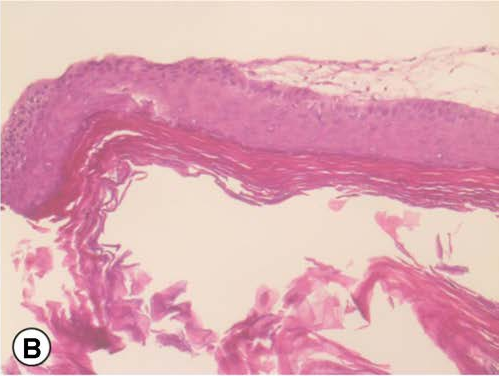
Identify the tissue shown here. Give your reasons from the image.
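A band of epithelium several cell layers thick runs across the upper part of the panel. The cells toward the inner surface become flattened. Compact pink lamellae lie against the epithelium on its inner side. So: stratified squamous epithelium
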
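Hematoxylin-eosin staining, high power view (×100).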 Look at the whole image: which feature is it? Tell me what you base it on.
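Keratin. Wavy, laminated pink layers without nuclei line the inner side of the epithelium.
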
